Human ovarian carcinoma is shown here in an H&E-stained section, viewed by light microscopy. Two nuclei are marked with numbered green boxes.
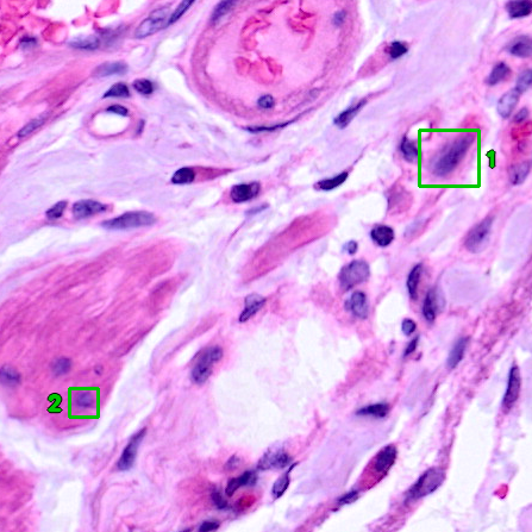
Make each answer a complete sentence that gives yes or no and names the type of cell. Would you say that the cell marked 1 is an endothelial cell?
Yes, the cell identified as number 1 is an endothelial cell.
